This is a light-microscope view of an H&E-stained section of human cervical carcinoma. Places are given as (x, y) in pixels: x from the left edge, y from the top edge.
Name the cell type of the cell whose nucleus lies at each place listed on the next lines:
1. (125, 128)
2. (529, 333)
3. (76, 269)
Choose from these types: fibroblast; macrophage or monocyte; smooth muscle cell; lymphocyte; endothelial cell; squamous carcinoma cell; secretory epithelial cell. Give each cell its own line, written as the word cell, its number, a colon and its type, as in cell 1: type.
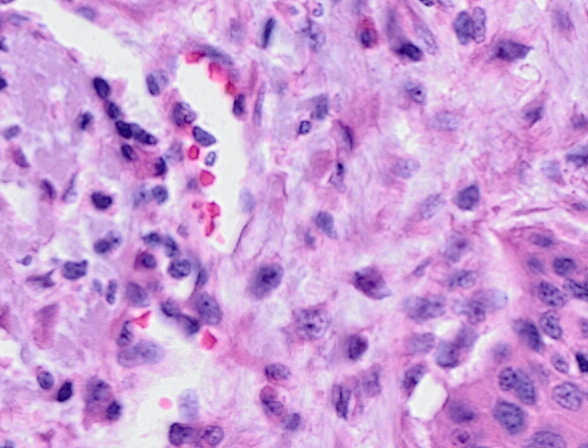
cell 1: lymphocyte
cell 2: squamous carcinoma cell
cell 3: lymphocyte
